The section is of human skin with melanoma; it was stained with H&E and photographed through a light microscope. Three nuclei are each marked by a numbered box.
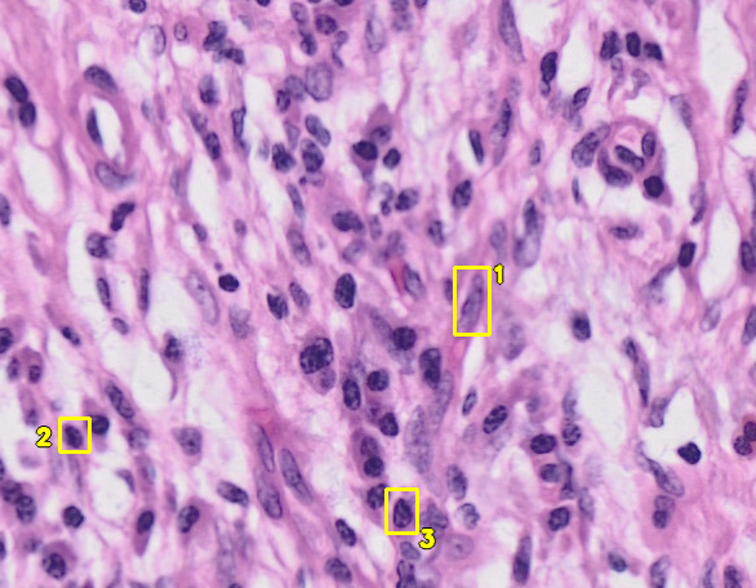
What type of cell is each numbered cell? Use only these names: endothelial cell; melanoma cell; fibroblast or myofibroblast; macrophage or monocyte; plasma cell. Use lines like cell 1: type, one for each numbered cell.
cell 1: endothelial cell
cell 2: plasma cell
cell 3: plasma cell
